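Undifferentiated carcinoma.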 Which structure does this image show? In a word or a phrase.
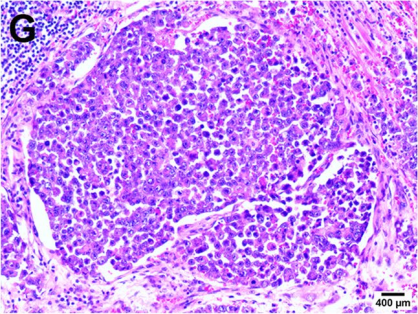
Nested structure.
